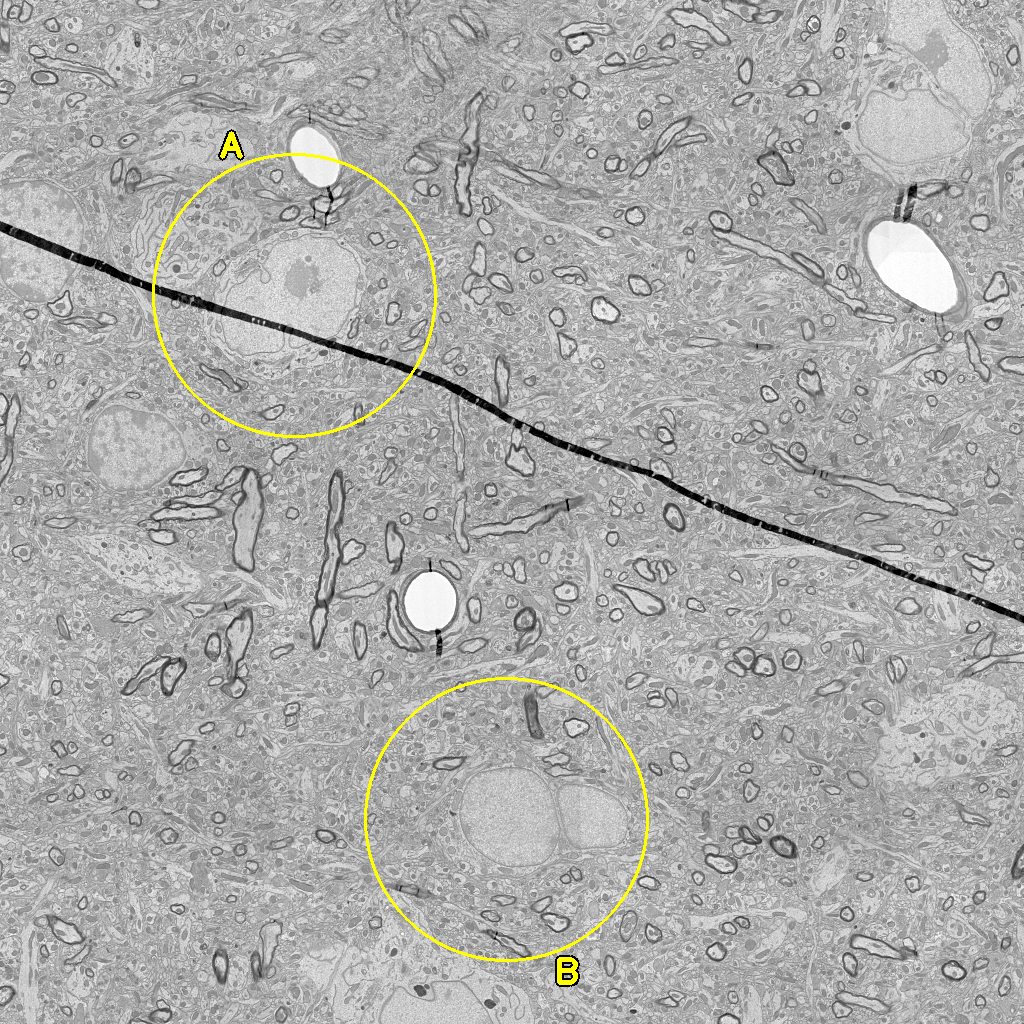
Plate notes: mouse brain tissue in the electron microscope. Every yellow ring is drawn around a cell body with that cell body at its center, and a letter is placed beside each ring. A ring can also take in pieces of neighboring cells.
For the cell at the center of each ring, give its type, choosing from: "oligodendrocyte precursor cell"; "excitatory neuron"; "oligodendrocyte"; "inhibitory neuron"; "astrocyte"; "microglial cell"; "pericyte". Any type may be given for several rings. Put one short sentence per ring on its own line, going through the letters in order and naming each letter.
Ring A shows an inhibitory neuron at the center.
Ring B shows an astrocyte at the center.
